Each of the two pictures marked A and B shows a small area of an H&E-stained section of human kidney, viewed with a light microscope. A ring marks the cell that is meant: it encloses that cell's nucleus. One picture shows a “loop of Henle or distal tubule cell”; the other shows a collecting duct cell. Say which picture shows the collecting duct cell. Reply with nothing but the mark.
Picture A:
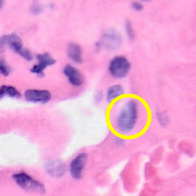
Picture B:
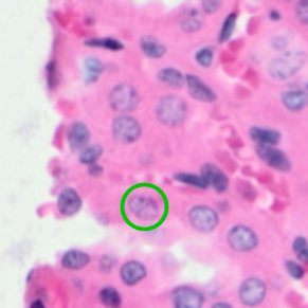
A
